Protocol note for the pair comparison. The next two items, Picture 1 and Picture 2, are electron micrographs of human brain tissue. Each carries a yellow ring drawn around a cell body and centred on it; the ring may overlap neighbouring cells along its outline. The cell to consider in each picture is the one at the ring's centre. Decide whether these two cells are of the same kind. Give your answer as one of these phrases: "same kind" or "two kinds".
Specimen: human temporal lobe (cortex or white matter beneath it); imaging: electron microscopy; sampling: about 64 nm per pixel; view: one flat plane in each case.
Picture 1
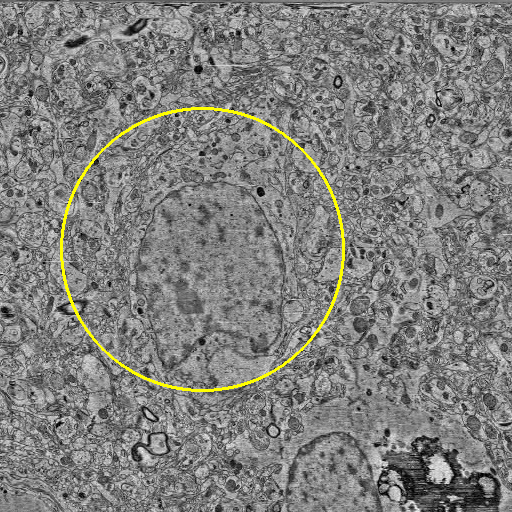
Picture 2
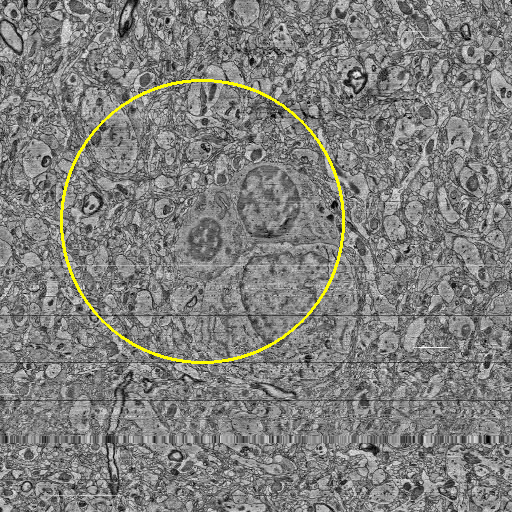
two kinds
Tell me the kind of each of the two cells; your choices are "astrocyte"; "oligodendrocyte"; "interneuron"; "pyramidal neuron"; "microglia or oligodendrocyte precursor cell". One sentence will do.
The ringed cell is an interneuron in the first picture and an oligodendrocyte in the second picture.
